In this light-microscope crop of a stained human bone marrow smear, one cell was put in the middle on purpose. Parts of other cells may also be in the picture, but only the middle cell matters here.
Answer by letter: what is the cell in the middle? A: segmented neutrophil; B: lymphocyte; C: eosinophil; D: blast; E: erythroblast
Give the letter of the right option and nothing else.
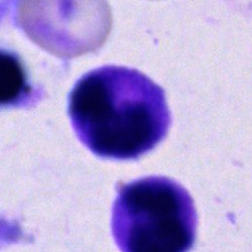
A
